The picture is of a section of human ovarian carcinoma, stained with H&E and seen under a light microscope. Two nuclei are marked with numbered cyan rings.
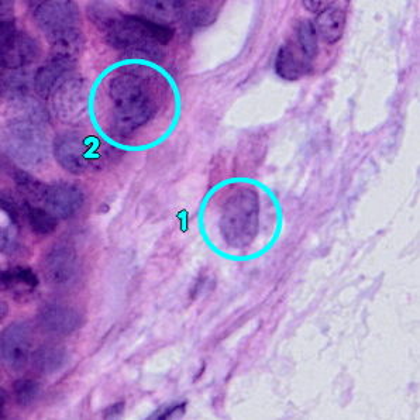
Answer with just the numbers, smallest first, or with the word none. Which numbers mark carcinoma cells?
2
